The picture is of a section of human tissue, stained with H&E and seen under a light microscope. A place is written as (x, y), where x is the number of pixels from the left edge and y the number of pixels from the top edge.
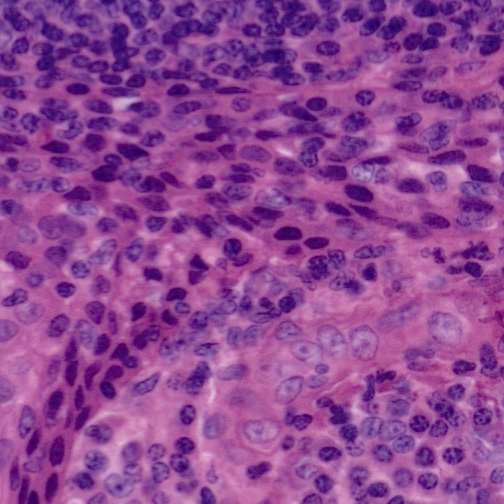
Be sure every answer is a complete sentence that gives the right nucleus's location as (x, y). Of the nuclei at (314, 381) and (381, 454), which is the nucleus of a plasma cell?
Out of the two, it is the nucleus at (381, 454) that belongs to a plasma cell.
